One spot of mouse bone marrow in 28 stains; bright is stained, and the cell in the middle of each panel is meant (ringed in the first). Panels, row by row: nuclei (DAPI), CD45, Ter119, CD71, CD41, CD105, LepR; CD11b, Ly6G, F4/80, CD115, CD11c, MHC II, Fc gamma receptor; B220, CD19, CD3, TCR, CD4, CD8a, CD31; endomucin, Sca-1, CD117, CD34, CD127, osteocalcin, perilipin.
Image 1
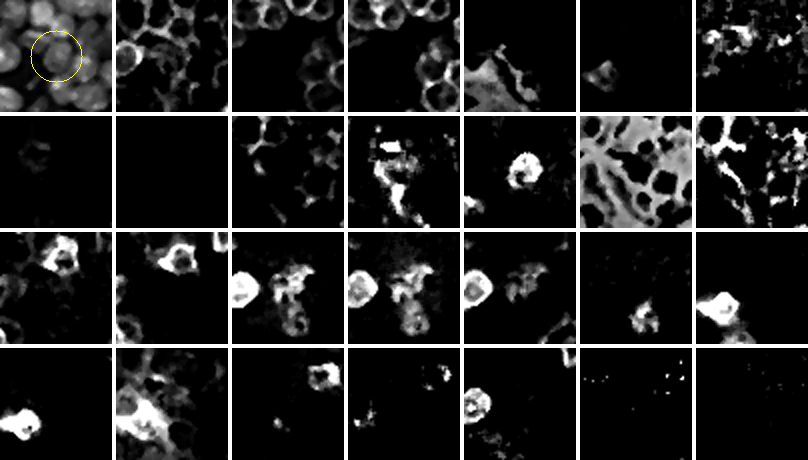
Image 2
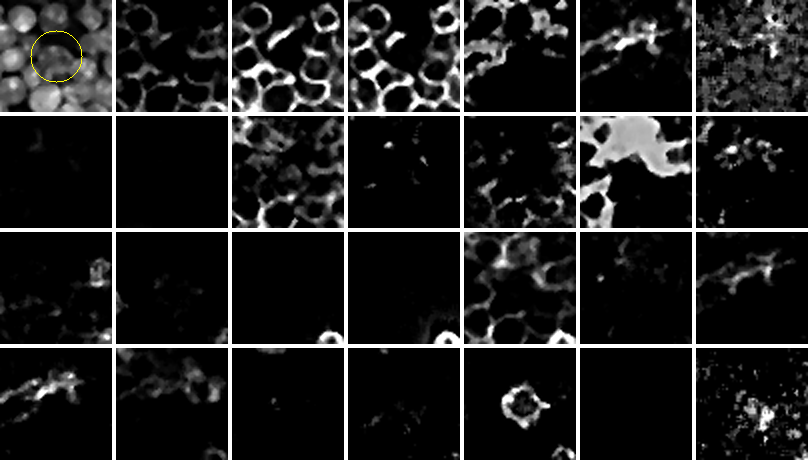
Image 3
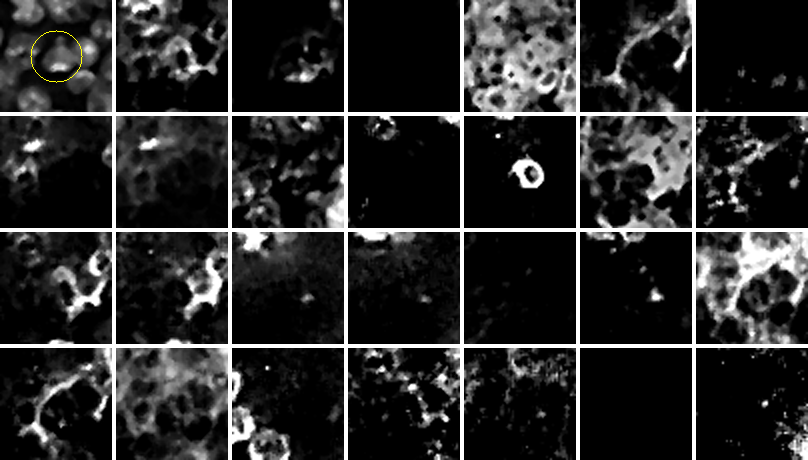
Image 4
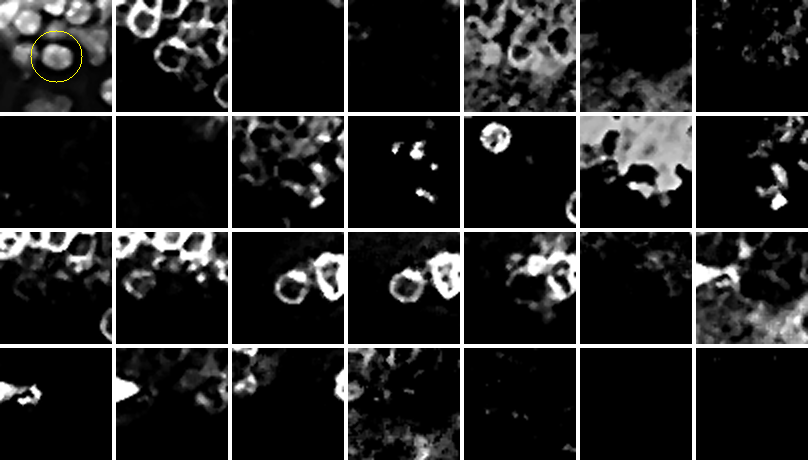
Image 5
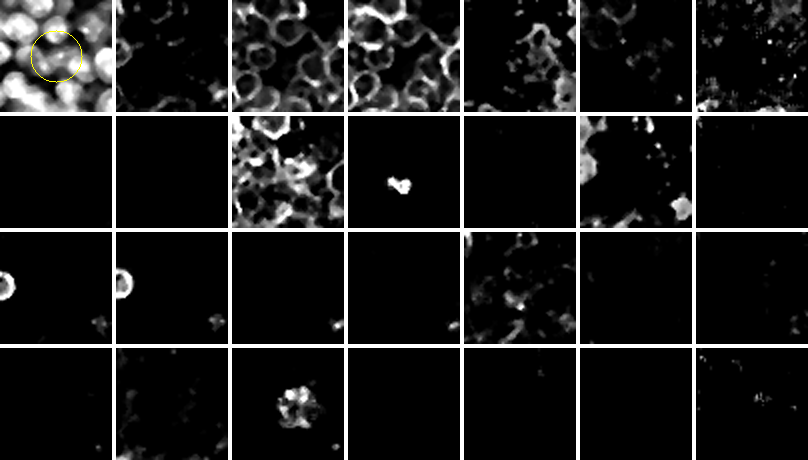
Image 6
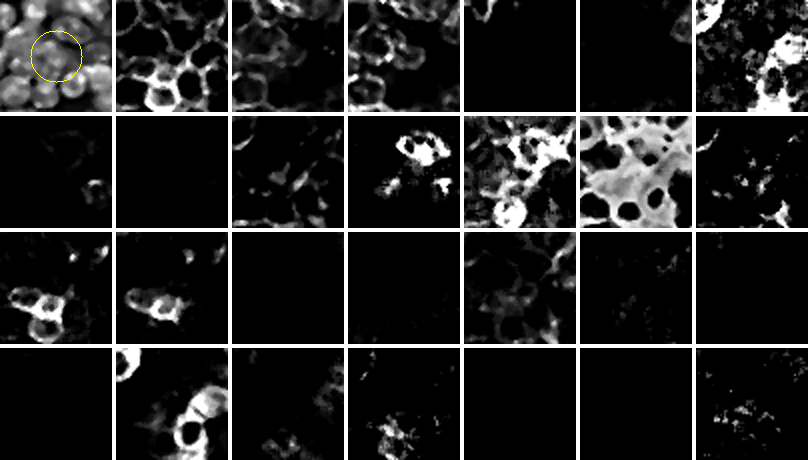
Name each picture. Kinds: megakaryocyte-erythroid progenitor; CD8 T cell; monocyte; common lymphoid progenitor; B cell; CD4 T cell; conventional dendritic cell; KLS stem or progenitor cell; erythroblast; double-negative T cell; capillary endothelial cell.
Picture 1: double-negative T cell
Picture 2: common lymphoid progenitor
Picture 3: capillary endothelial cell
Picture 4: double-negative T cell
Picture 5: megakaryocyte-erythroid progenitor
Picture 6: conventional dendritic cell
